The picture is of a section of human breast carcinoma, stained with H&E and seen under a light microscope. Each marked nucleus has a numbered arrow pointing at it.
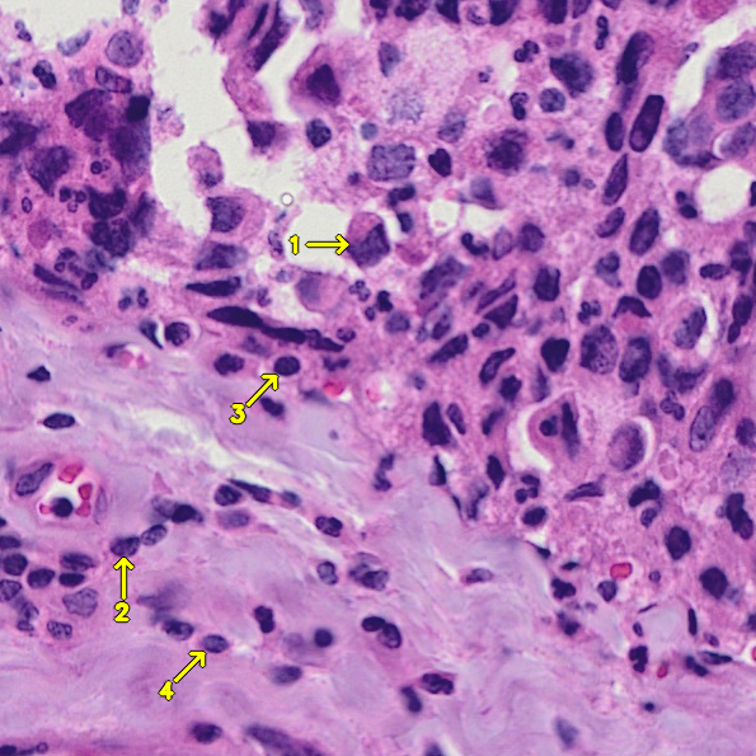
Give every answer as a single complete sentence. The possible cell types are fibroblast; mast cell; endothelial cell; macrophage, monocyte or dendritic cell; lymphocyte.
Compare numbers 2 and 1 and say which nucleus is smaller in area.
It is nucleus 2; nucleus 1 has about 2 times its area.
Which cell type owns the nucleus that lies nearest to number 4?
Number 4 lies closest to the nucleus of a lymphocyte.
